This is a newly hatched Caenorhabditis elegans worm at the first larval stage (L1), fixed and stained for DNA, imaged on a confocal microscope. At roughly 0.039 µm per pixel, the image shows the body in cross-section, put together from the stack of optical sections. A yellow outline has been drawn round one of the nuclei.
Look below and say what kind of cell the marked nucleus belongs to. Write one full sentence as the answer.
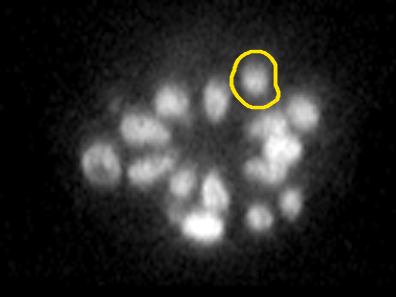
The marked cell is a glial cell (sheath or socket).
